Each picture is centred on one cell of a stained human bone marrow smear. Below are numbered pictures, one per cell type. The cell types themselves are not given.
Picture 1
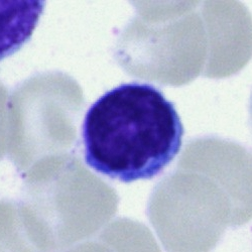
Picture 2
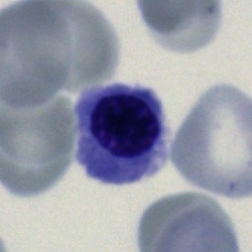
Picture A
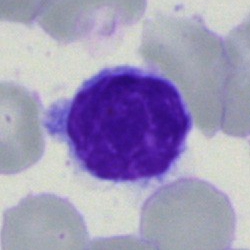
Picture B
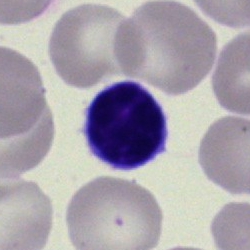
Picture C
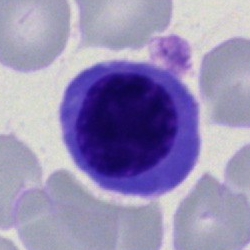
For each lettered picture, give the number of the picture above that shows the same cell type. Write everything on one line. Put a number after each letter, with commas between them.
A 1, B 1, C 2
